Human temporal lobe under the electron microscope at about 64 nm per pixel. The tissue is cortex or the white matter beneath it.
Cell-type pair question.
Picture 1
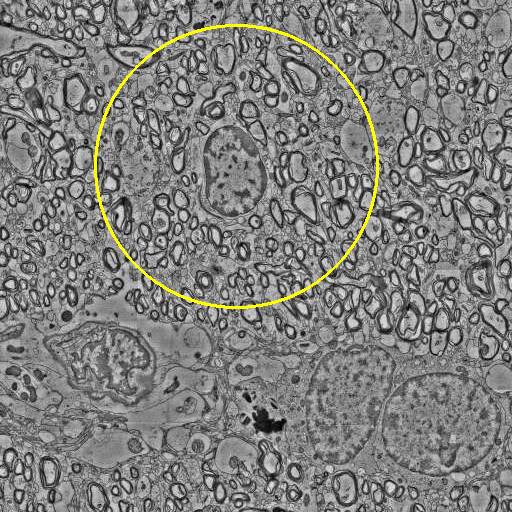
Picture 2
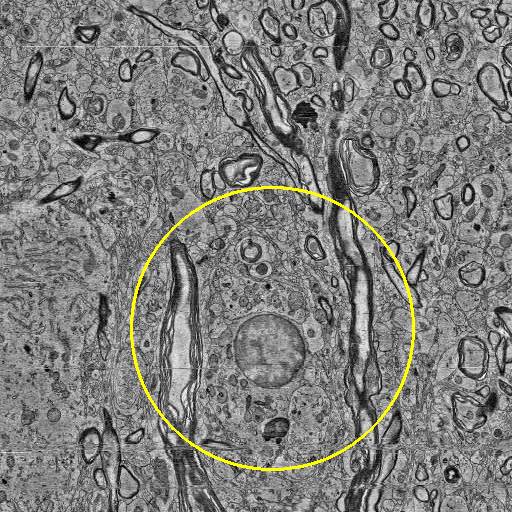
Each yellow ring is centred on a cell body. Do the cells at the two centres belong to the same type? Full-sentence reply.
No, the two cells belong to two types.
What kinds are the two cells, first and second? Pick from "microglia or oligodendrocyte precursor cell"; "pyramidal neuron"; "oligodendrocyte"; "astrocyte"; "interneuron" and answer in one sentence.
The second picture holds an oligodendrocyte in its ring, and the first holds a microglial cell or oligodendrocyte precursor cell.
